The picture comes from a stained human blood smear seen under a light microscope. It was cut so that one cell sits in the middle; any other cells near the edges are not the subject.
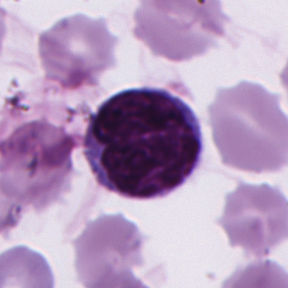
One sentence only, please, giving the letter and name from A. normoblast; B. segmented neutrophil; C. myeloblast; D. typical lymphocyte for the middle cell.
The cell in the centre of the crop is a normoblast, so option A is the correct one.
